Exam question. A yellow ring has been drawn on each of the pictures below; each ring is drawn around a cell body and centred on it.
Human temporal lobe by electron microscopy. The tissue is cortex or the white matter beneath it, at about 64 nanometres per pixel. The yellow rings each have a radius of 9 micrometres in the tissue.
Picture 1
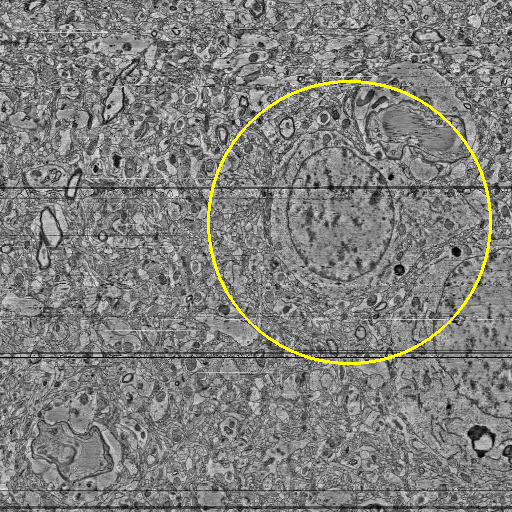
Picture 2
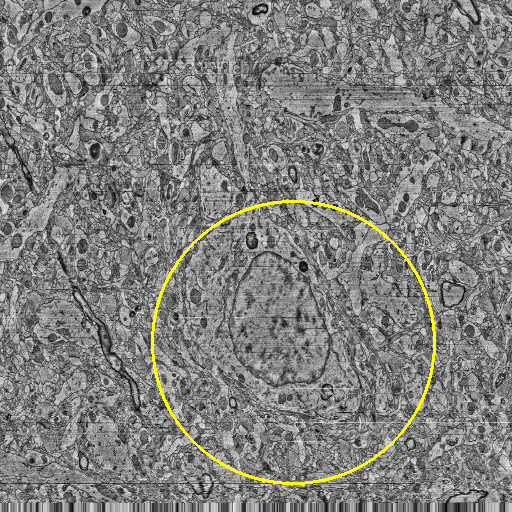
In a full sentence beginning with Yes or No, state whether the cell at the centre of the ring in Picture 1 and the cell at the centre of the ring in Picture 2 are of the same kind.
Yes, the two cells are of the same kind.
